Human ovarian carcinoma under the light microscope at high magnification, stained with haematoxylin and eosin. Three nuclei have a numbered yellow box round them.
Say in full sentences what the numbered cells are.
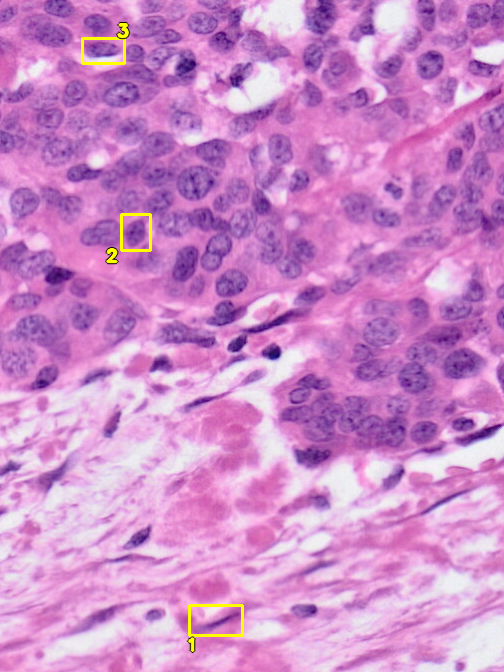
Cell 1 is a fibroblast, cell 2 is a carcinoma cell and cell 3 is a carcinoma cell.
